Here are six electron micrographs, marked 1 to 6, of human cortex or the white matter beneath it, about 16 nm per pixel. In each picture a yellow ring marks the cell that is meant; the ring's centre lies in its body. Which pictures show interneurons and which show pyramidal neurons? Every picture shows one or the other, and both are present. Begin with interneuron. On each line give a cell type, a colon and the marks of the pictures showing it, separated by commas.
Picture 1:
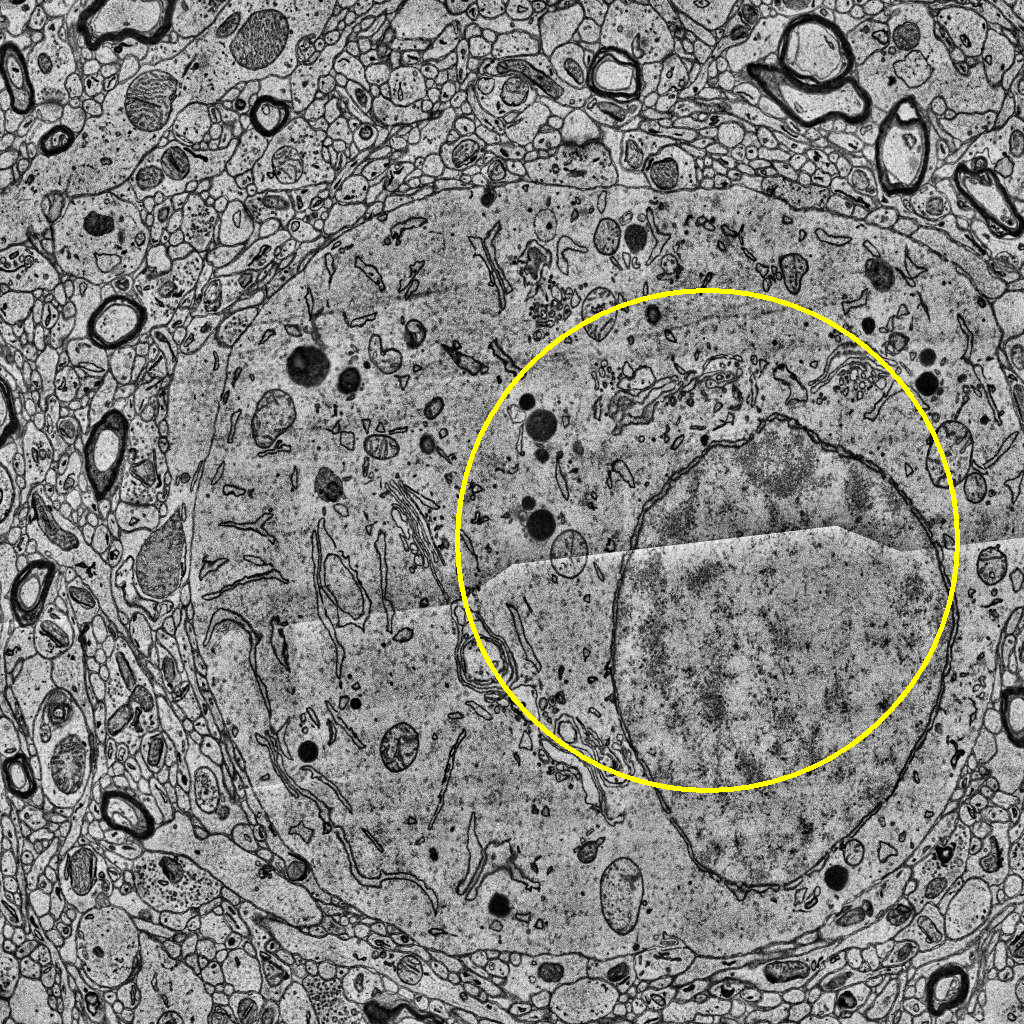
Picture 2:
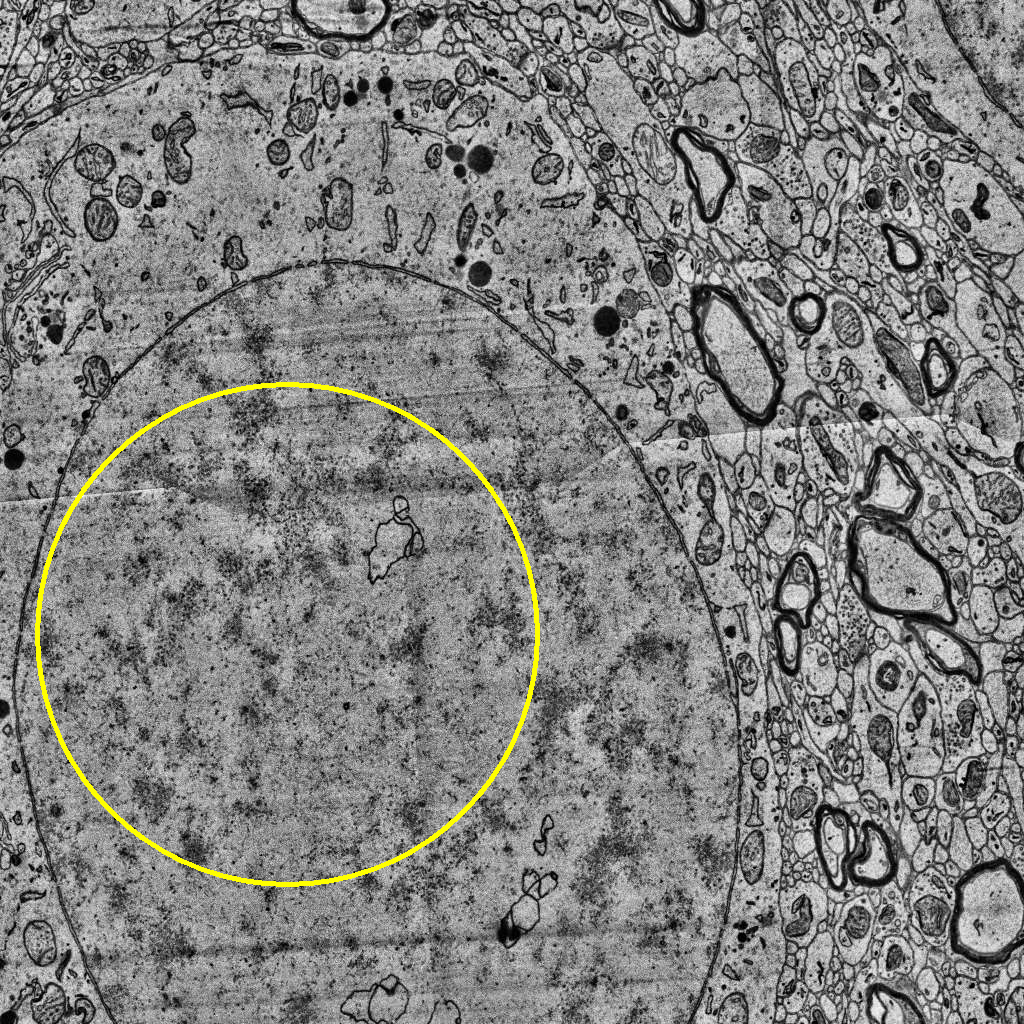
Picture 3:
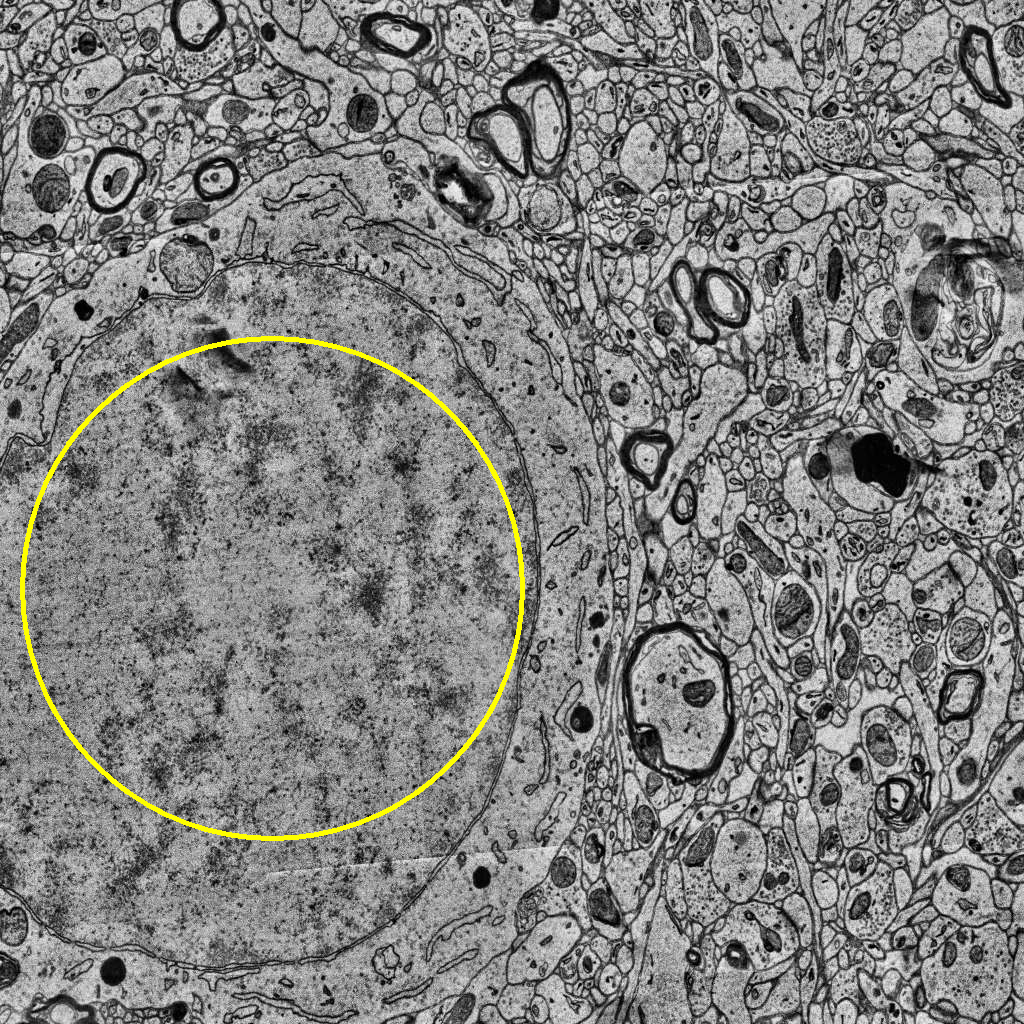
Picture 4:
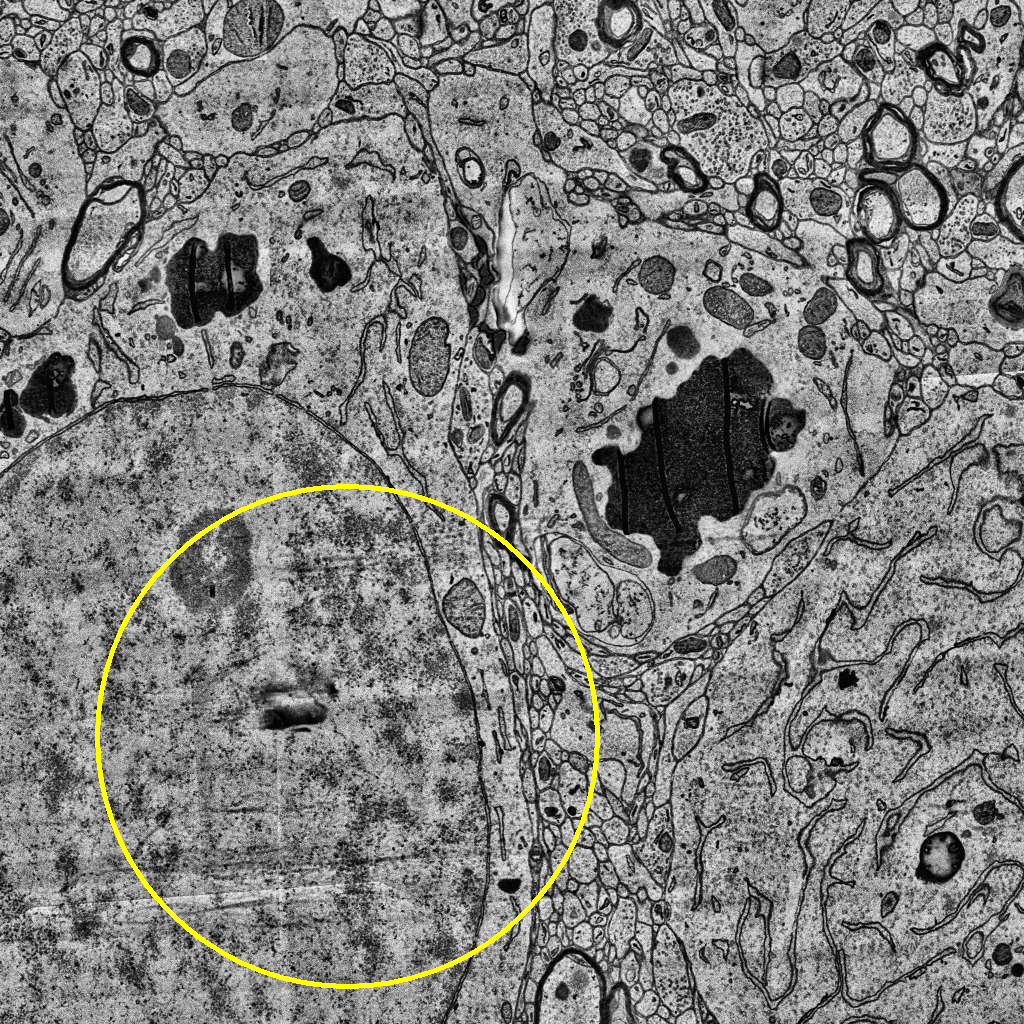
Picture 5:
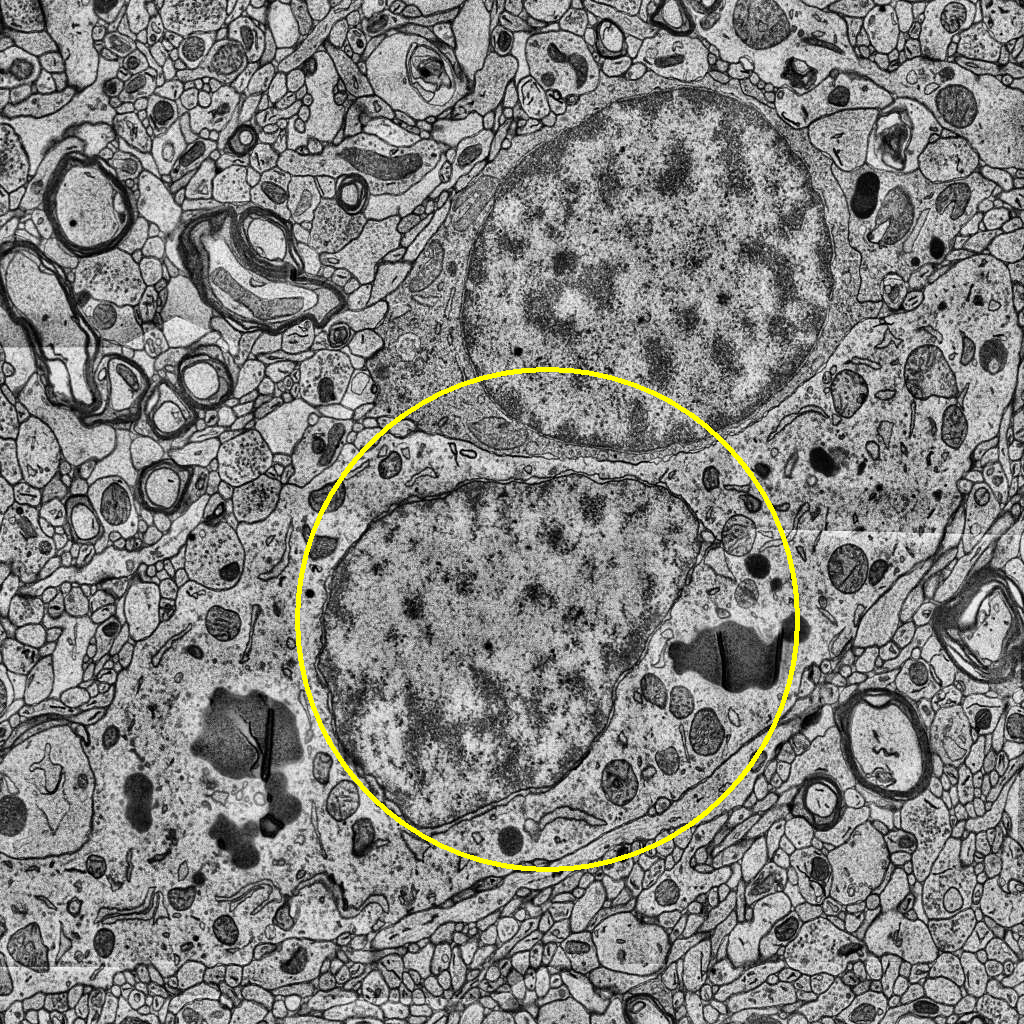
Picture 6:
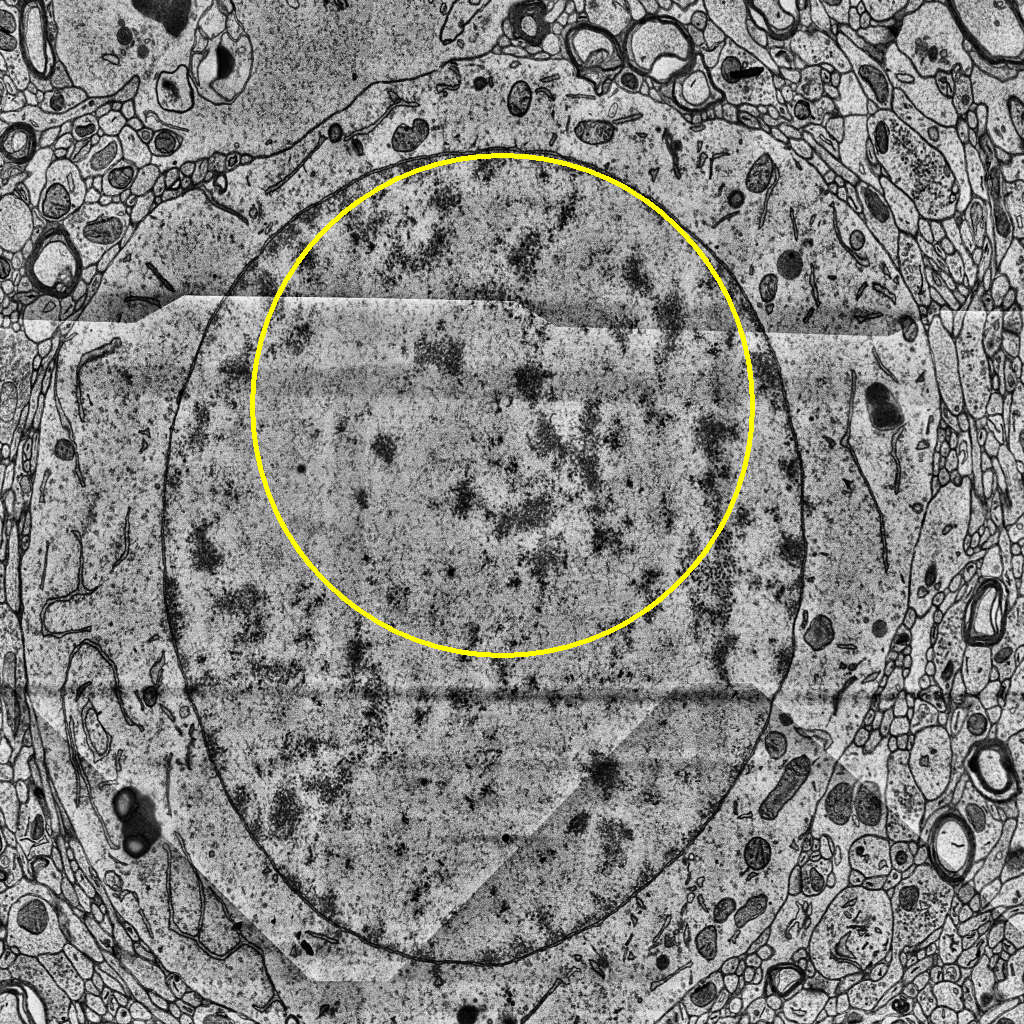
interneuron: 3, 5
pyramidal neuron: 1, 2, 4, 6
